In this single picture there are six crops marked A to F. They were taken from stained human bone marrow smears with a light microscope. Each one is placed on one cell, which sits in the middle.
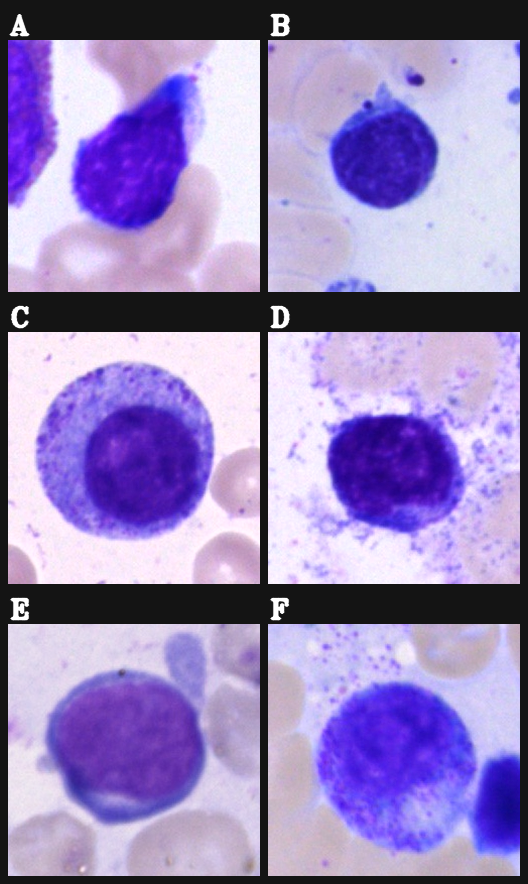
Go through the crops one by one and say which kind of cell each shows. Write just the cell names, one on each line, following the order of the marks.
lymphocyte
lymphocyte
promyelocyte
blast
blast
promyelocyte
